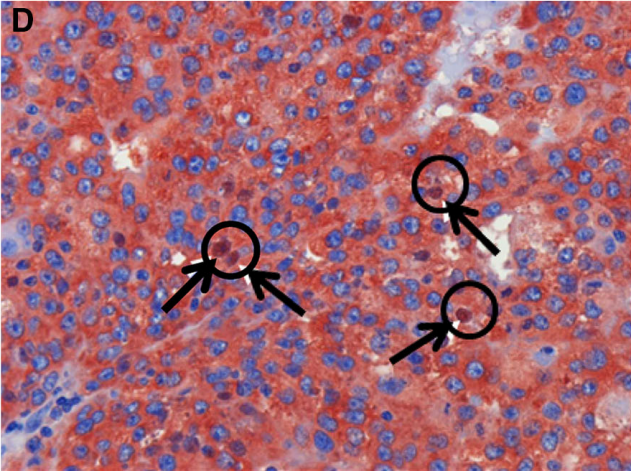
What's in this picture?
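This field shows a solid sheet of closely packed epithelial cells with round blue nuclei set in abundant cytoplasm. The cytoplasm throughout is stained a strong red, giving the whole field a red tone with the nuclei appearing as blue dots. Most nuclei remain blue, but a few scattered nuclei look reddish-purple, taking up the red stain as well as the cytoplasm around them. A few narrow clear spaces and pale bluish strands of stroma break the sheet here and there. Compare the ordinary blue nuclei with the darker, reddish ones to see where the stain reaches into the nucleus.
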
